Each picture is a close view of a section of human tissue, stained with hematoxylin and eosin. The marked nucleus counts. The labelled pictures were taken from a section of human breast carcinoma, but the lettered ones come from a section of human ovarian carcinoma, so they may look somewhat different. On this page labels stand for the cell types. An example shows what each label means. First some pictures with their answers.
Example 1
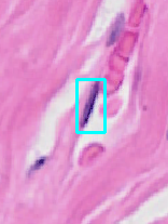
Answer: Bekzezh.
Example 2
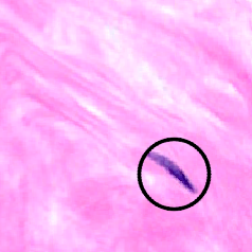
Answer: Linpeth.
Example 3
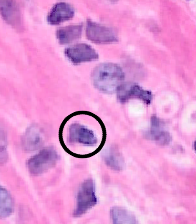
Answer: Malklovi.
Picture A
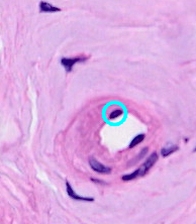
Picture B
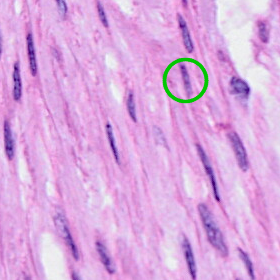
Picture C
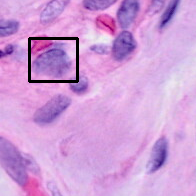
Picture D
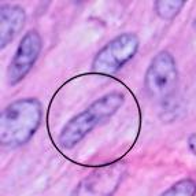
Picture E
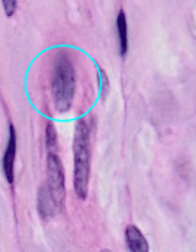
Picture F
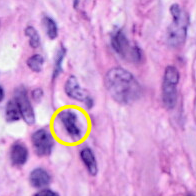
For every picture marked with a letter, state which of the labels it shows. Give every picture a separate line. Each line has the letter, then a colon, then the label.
A: Bekzezh.
B: Linpeth.
C: Bekzezh.
D: Linpeth.
E: Bekzezh.
F: Malklovi.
